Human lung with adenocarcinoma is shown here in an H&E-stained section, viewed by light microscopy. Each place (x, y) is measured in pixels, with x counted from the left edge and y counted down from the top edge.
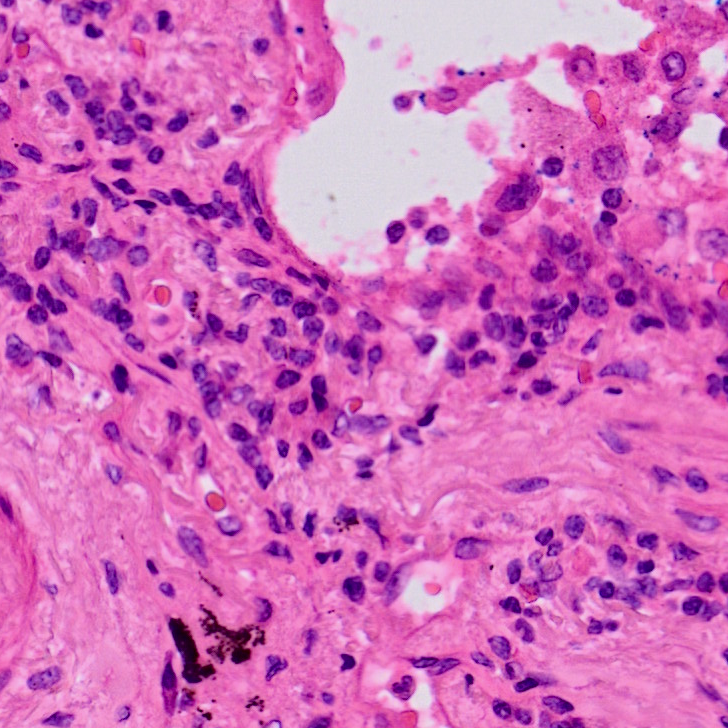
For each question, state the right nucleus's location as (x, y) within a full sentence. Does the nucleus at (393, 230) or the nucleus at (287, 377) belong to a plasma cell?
Between the pair, the nucleus at (287, 377) belongs to a plasma cell.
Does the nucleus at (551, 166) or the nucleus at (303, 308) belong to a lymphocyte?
It is at (551, 166) that the nucleus of a lymphocyte is found.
